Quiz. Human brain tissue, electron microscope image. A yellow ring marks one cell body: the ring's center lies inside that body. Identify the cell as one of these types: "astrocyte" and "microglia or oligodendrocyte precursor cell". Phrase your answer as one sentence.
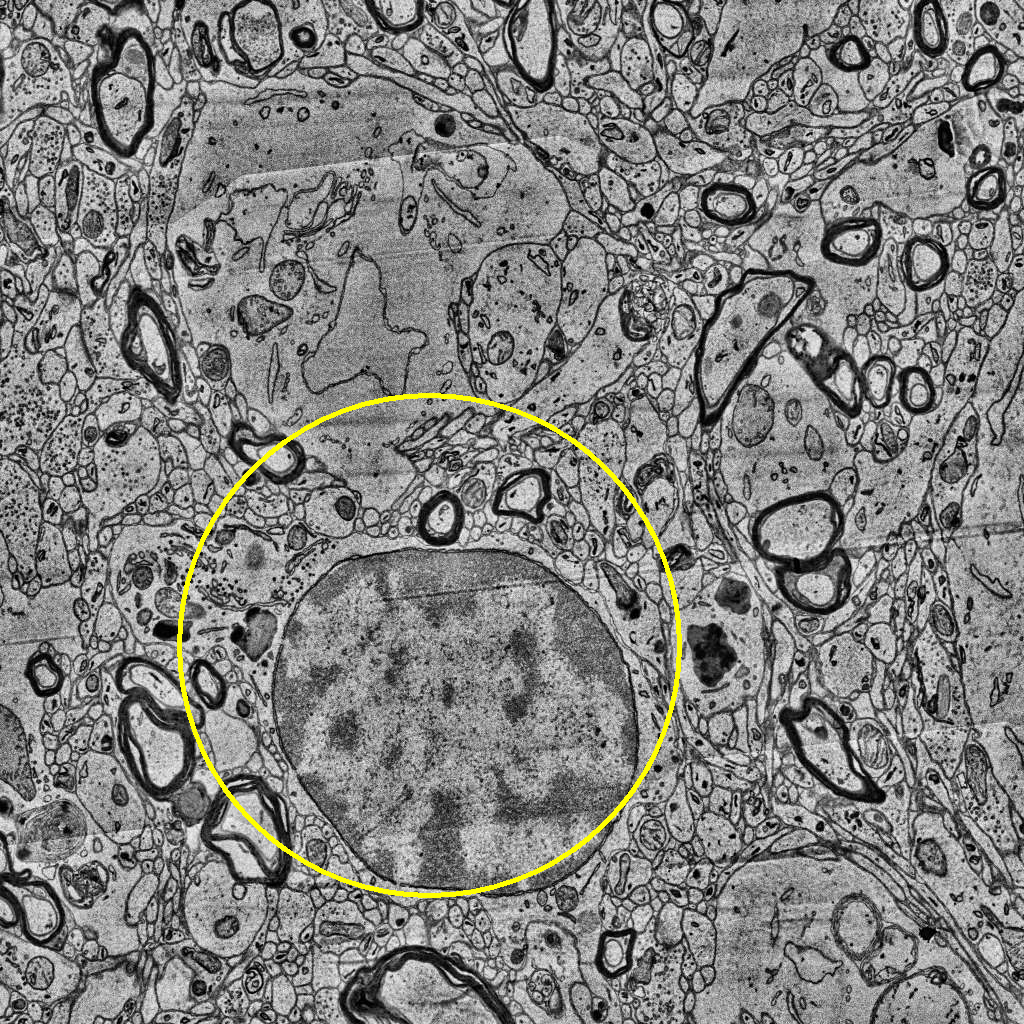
At the center of the ring sits a microglial cell or oligodendrocyte precursor cell.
